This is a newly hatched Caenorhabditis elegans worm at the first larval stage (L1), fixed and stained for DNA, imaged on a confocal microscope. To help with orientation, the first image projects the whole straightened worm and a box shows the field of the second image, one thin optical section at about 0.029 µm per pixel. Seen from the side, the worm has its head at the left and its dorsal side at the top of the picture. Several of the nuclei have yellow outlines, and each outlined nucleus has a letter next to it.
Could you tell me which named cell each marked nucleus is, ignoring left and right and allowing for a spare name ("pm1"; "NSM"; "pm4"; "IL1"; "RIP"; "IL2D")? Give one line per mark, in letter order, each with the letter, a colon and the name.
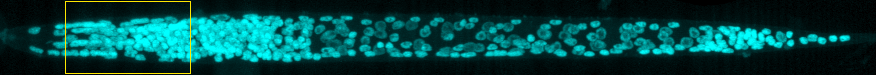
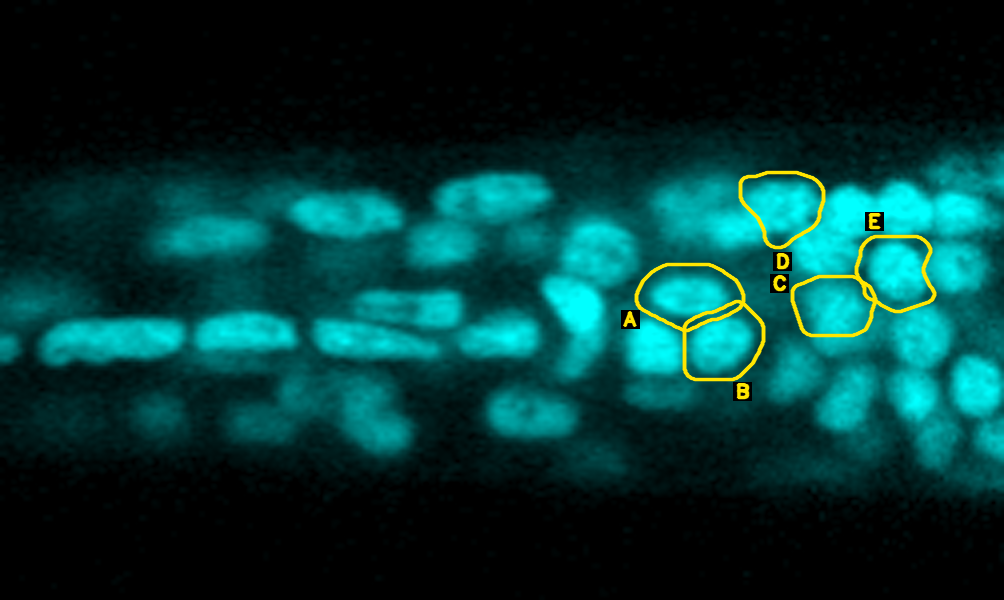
A: pm4
B: NSM
C: IL1
D: IL2D
E: RIP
